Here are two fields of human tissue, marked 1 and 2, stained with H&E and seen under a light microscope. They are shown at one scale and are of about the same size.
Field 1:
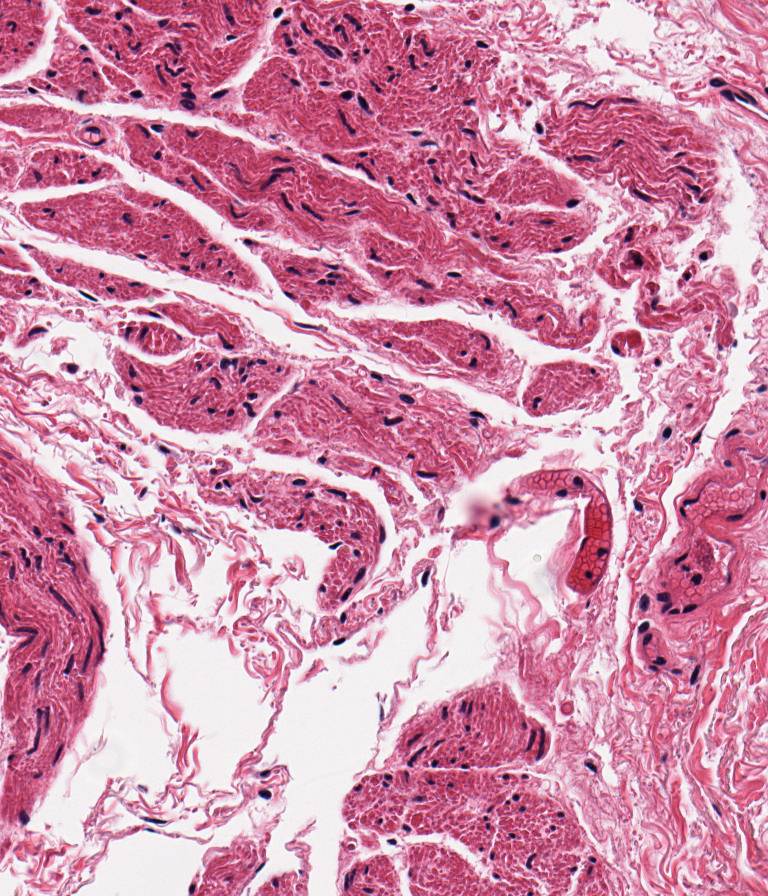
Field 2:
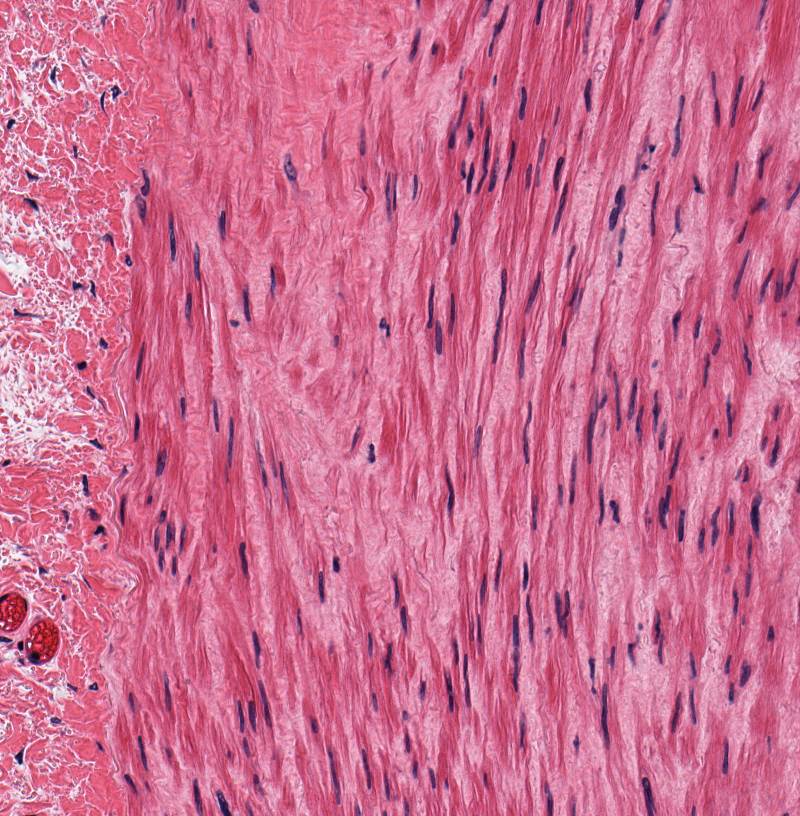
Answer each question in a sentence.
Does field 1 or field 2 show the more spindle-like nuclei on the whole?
Longer, more slender nuclei lie in field 2.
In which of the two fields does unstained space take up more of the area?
Field 1 has more white space.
